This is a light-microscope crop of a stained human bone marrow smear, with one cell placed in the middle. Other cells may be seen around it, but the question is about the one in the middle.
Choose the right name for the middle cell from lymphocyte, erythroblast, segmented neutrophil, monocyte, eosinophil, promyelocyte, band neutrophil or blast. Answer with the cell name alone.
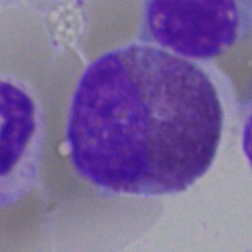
eosinophil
